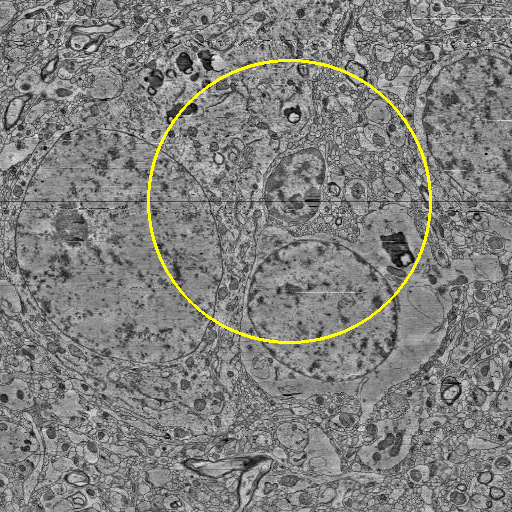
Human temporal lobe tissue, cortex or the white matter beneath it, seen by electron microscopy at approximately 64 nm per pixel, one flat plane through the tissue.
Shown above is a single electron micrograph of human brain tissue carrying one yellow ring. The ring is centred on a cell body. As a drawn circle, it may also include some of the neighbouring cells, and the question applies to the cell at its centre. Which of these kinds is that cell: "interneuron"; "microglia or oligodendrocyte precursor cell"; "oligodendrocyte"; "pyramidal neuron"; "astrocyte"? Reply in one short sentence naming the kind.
The cell marked by the ring is a microglial cell or oligodendrocyte precursor cell.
